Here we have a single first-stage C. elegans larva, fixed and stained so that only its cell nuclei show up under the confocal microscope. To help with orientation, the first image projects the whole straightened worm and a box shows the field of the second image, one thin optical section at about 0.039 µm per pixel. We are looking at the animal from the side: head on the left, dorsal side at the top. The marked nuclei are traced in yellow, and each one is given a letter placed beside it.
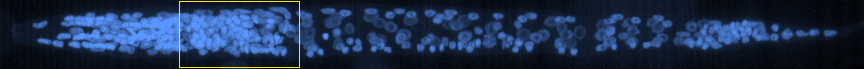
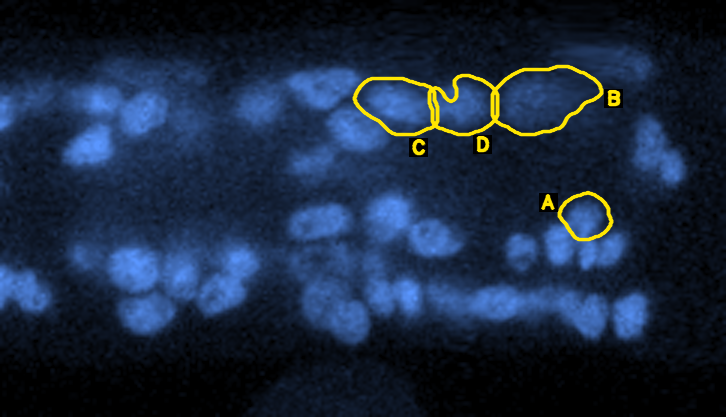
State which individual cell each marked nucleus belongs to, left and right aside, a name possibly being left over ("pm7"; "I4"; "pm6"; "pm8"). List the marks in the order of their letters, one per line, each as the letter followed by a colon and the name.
A: pm8
B: pm7
C: I4
D: pm6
